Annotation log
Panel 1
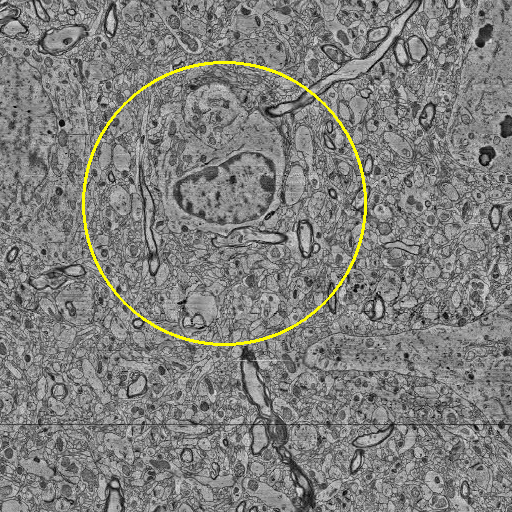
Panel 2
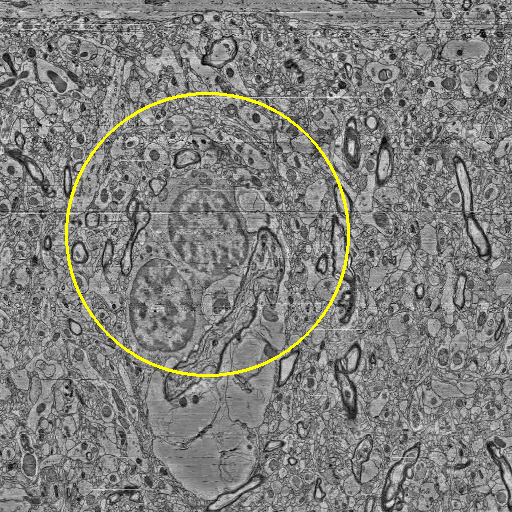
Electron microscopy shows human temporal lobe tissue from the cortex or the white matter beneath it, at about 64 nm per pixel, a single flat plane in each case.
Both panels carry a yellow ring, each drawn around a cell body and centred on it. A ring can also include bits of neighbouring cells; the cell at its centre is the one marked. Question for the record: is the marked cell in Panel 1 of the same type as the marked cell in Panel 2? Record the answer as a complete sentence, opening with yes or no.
No, the marked cells in Panel 1 and Panel 2 are of two types.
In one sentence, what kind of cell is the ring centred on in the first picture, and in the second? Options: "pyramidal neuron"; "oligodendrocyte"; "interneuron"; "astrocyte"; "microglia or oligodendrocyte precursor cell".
The cell at the centre of the second ring is an oligodendrocyte; the first ring's cell is a microglial cell or oligodendrocyte precursor cell.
